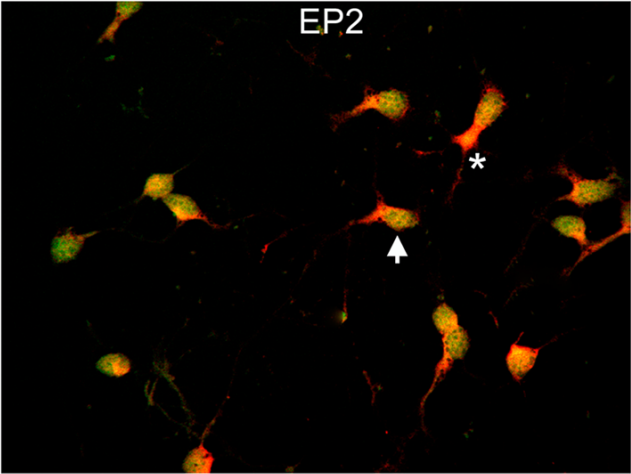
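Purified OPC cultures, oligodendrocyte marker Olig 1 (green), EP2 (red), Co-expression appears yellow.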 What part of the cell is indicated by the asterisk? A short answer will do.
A: Cell processes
